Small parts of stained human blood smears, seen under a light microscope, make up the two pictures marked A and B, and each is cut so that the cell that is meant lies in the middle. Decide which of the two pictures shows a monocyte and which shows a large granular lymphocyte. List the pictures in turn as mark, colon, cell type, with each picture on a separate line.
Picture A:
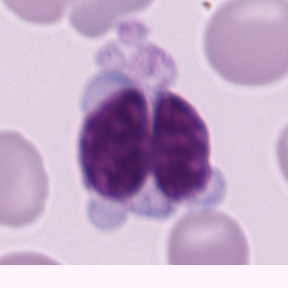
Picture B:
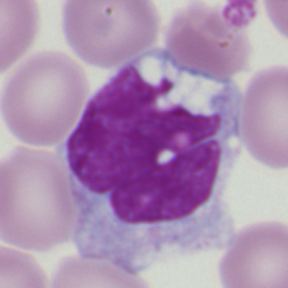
A: large granular lymphocyte
B: monocyte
